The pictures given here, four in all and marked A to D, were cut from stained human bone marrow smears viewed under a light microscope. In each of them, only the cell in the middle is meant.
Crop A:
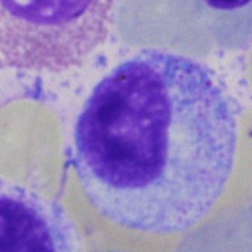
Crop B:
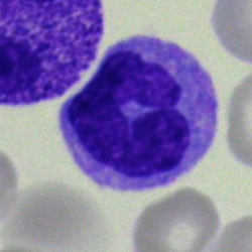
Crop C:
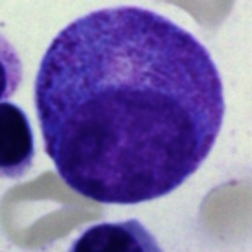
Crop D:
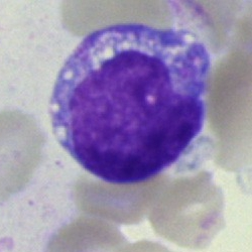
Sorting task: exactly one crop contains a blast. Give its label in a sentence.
Crop D is the crop containing a blast.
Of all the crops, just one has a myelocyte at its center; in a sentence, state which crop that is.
The one that shows a myelocyte is crop A.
